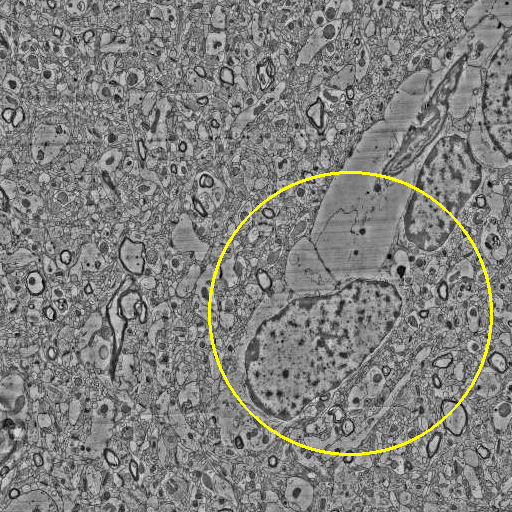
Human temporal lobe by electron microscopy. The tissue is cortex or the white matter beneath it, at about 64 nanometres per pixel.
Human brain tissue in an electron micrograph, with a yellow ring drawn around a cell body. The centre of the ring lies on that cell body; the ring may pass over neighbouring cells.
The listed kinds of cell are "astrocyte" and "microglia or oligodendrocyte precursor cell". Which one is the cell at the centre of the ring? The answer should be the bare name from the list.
microglia or oligodendrocyte precursor cell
